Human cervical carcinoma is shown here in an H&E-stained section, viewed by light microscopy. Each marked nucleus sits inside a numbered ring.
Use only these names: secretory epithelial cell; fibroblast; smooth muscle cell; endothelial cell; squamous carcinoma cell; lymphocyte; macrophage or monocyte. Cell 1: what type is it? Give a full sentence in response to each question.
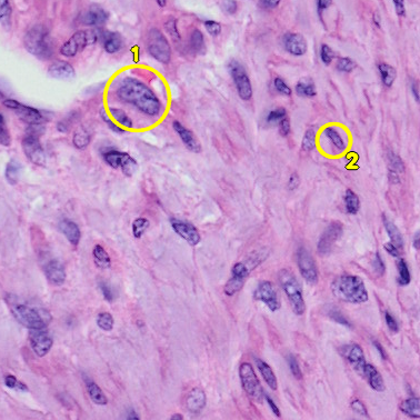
Among the marked nuclei, number 1 belongs to an endothelial cell.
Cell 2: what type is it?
The cell identified by number 2 is a smooth muscle cell.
